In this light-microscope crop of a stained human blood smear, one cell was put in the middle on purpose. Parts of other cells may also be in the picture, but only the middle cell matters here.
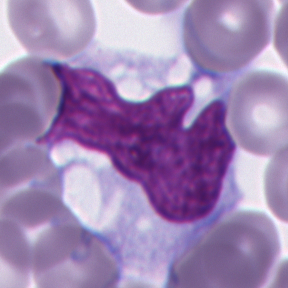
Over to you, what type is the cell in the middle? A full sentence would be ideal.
Looking at the middle of the crop, the cell there is a monocyte.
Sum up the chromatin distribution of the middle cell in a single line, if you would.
Coarse clumps are absent, and the chromatin is fine throughout.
